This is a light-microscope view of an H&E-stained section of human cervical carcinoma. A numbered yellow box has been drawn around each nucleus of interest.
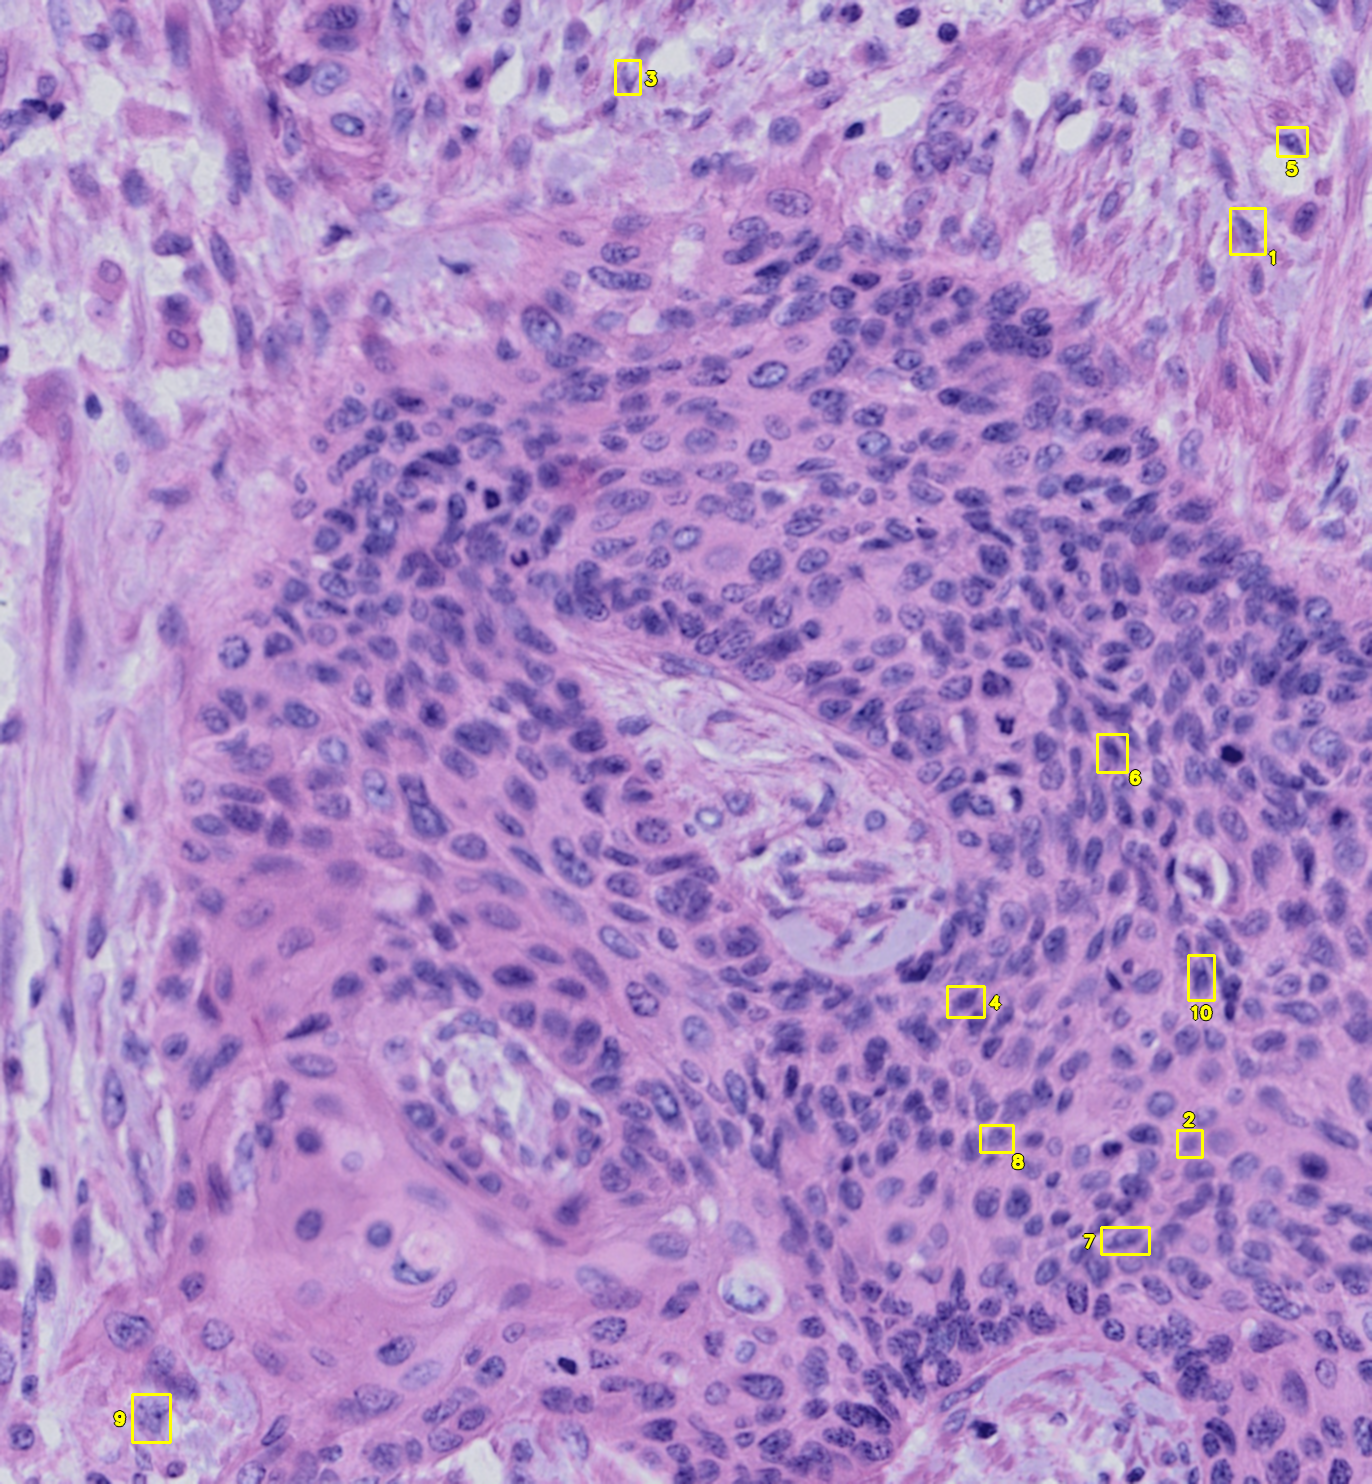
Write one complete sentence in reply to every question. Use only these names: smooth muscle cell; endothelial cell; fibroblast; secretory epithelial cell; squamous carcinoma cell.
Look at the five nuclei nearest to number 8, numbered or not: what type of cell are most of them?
Of the five nuclei nearest to number 8, most belong to squamous carcinoma cells.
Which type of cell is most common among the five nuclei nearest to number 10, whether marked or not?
Squamous carcinoma cells account for more than half of the five nuclei nearest to number 10.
